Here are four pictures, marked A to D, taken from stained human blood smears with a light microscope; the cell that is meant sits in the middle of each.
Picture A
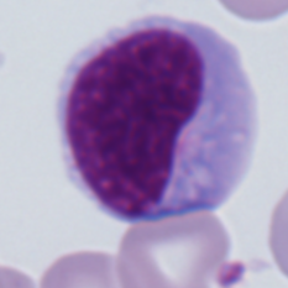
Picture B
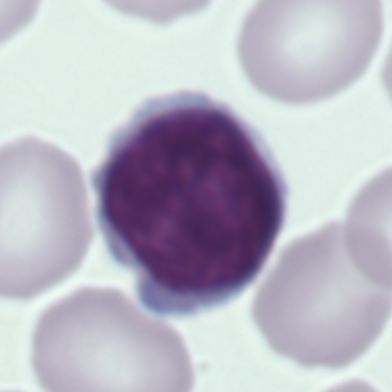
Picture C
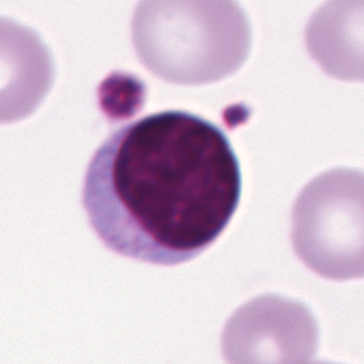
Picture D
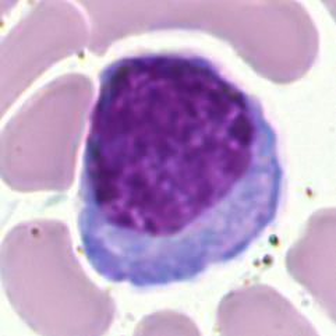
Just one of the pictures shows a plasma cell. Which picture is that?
D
